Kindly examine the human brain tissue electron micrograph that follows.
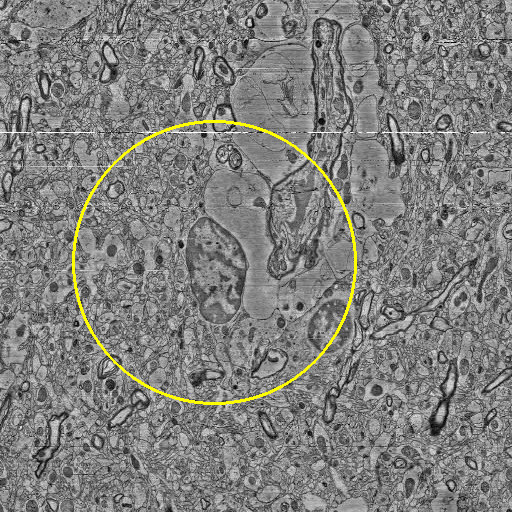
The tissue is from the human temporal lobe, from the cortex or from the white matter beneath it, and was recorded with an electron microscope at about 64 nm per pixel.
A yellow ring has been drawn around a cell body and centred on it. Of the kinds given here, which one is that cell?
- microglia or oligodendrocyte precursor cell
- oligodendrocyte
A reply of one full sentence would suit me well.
The micrograph's ringed cell, the one at the ring's centre, is a microglial cell or oligodendrocyte precursor cell.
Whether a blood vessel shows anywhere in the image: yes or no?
Yes, a blood vessel shows in the picture.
